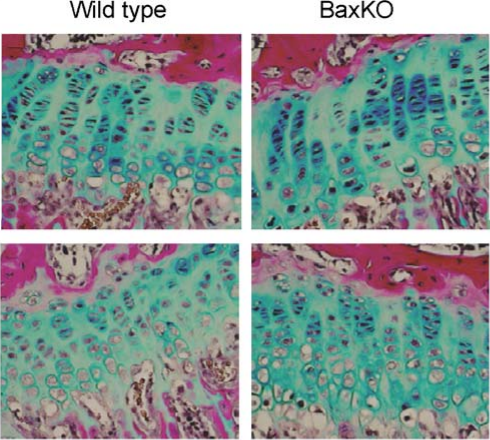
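These are sections of growth plate cartilage, where chondrocytes lie in lacunae inside a blue-green stained matrix and are stacked in longitudinal columns. Pink-red stained bony tissue borders the cartilage at the top, and toward the bottom the cells become larger and paler. The intensity of the blue matrix staining and the neatness of the columns vary between the four images.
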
